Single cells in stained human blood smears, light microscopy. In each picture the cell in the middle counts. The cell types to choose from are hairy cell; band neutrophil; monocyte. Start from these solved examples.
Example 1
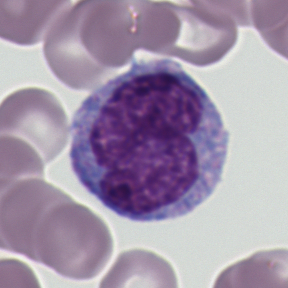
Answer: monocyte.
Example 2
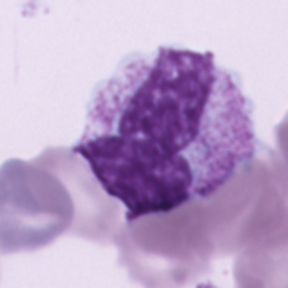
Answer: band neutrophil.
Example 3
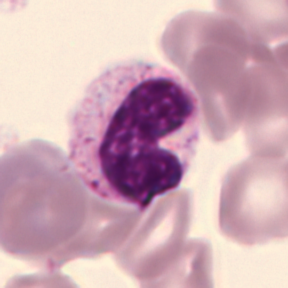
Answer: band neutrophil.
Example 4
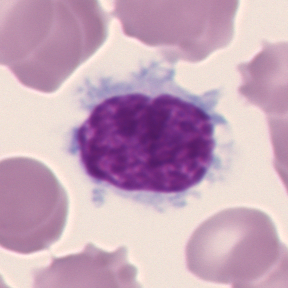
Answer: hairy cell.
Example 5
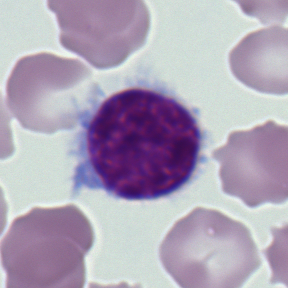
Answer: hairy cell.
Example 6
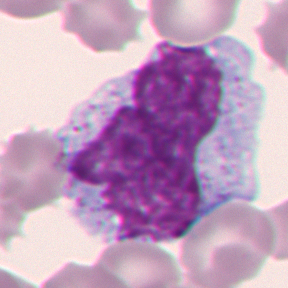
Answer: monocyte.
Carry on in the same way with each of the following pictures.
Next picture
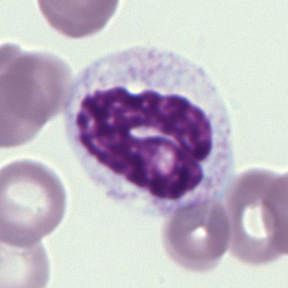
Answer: band neutrophil.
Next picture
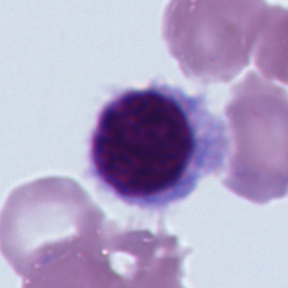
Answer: hairy cell.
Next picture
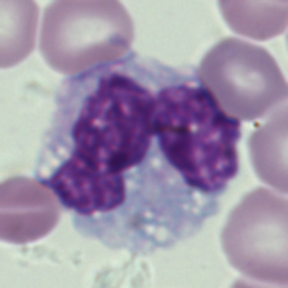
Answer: monocyte.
